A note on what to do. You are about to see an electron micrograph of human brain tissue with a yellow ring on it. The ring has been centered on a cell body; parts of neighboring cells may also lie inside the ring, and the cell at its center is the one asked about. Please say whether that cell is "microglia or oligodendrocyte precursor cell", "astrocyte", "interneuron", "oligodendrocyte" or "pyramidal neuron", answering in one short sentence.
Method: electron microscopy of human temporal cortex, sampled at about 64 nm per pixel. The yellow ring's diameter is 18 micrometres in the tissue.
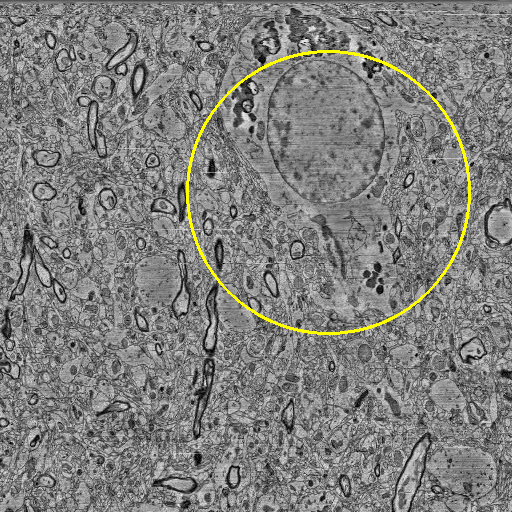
The yellow ring sits on an astrocyte.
